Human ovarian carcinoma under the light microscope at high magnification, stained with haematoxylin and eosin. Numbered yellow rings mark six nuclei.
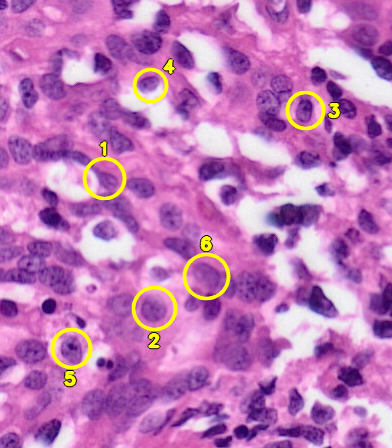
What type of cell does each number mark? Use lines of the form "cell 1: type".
cell 1: carcinoma cell
cell 2: carcinoma cell
cell 3: macrophage or monocyte
cell 4: carcinoma cell
cell 5: macrophage or monocyte
cell 6: carcinoma cell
